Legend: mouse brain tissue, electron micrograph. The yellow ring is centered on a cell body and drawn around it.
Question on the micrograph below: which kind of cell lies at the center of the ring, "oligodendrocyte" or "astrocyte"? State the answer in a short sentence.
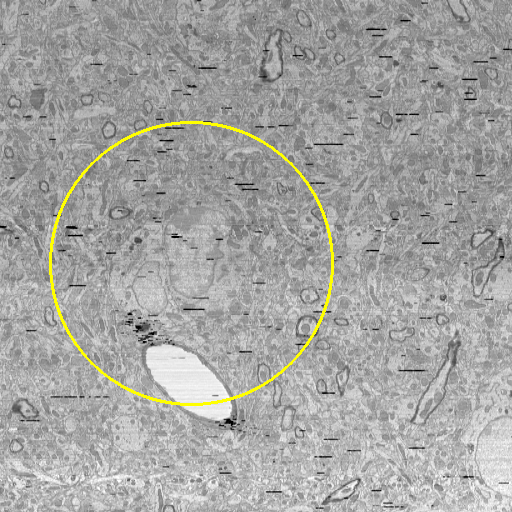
At the center of the ring lies an oligodendrocyte.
